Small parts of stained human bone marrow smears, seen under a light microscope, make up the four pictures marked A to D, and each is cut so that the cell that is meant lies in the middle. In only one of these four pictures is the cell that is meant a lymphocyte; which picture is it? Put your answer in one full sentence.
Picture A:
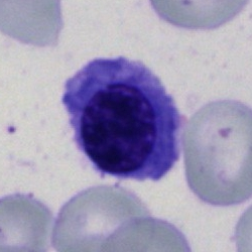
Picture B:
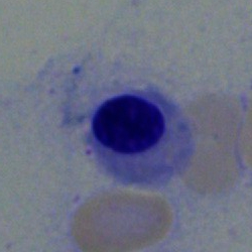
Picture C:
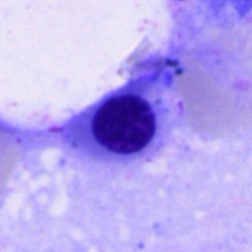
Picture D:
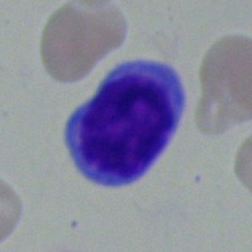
The lymphocyte is the one in picture D.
